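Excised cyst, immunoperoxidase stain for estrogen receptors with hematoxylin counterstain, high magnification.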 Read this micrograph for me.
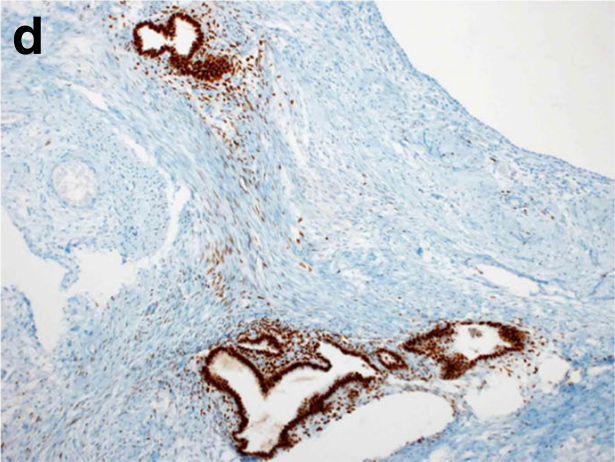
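The wall shows glands lined by epithelial cells and surrounded by stromal cells, set in paler fibrous tissue. The nuclei of the epithelial cells lining the gland lumens are stained dark brown. The stromal cells gathered close around the glands also have brown nuclei.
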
